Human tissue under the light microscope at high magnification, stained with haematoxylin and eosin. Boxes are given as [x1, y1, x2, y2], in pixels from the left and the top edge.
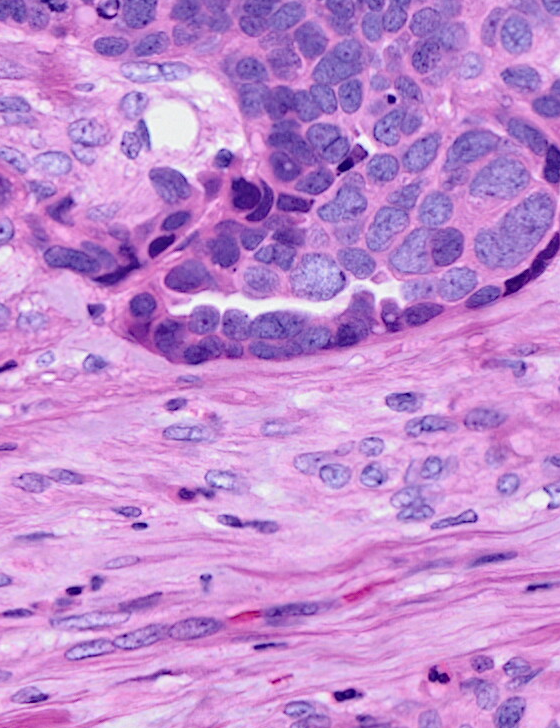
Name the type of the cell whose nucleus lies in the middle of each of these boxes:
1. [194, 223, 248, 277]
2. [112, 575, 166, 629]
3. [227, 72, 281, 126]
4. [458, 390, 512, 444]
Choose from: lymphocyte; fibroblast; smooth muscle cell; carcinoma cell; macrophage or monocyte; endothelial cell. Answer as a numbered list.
1. carcinoma cell
2. fibroblast
3. carcinoma cell
4. fibroblast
